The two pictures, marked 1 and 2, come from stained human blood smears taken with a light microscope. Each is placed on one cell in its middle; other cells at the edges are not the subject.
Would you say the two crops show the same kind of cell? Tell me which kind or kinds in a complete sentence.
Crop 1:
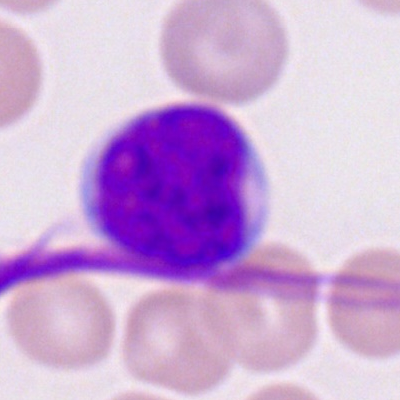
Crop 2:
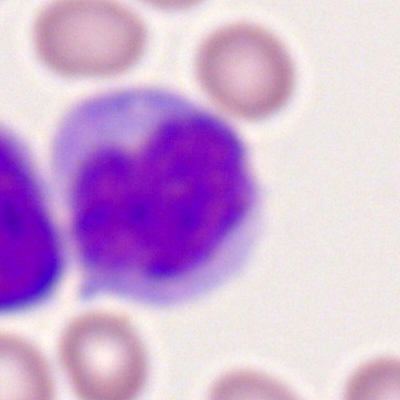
No, a blast is in crop 1, while a monocyte is in crop 2.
